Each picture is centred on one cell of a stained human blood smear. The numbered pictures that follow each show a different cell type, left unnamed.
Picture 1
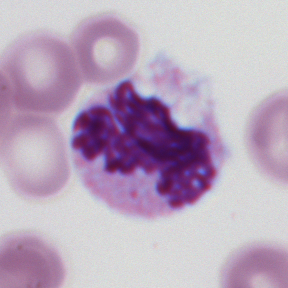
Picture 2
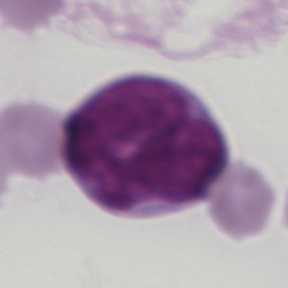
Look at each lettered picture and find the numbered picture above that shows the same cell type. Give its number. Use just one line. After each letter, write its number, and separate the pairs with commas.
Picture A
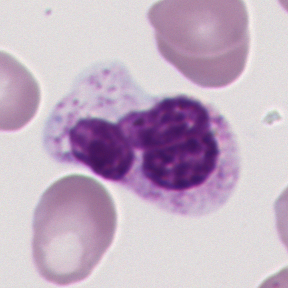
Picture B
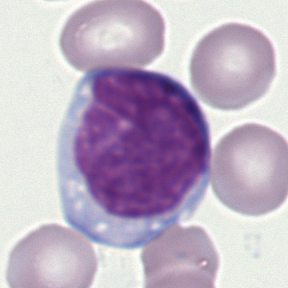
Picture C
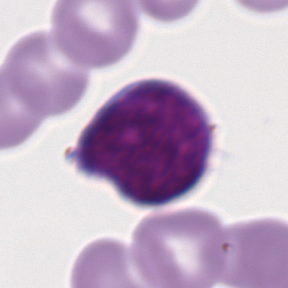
A 1, B 2, C 2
